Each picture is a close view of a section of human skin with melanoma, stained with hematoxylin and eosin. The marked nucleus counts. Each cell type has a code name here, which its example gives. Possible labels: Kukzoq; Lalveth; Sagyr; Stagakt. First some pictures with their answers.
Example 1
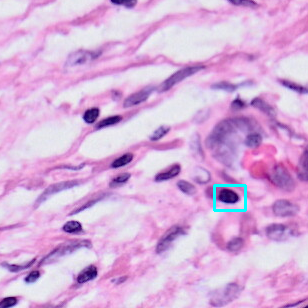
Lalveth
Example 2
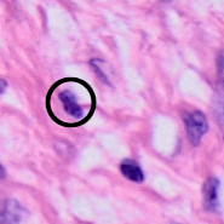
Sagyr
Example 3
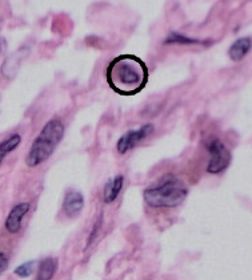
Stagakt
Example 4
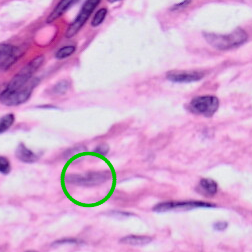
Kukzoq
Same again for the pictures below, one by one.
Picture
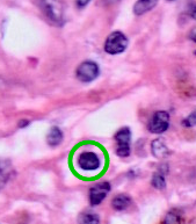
Sagyr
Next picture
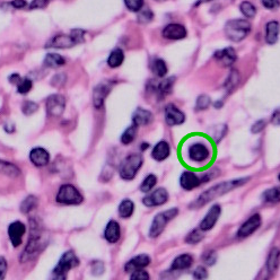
Sagyr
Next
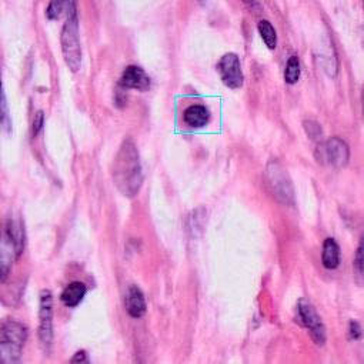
Lalveth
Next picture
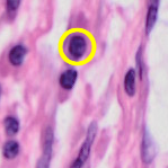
Lalveth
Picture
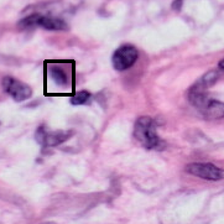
Lalveth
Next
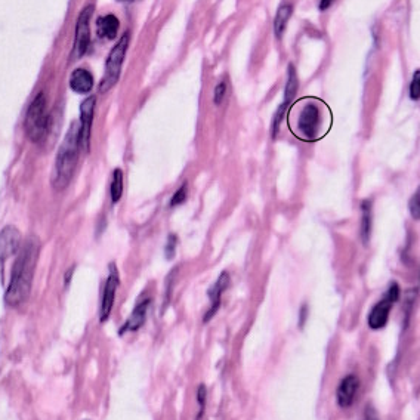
Lalveth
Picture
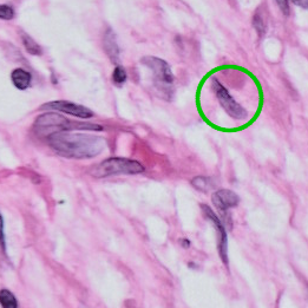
Stagakt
